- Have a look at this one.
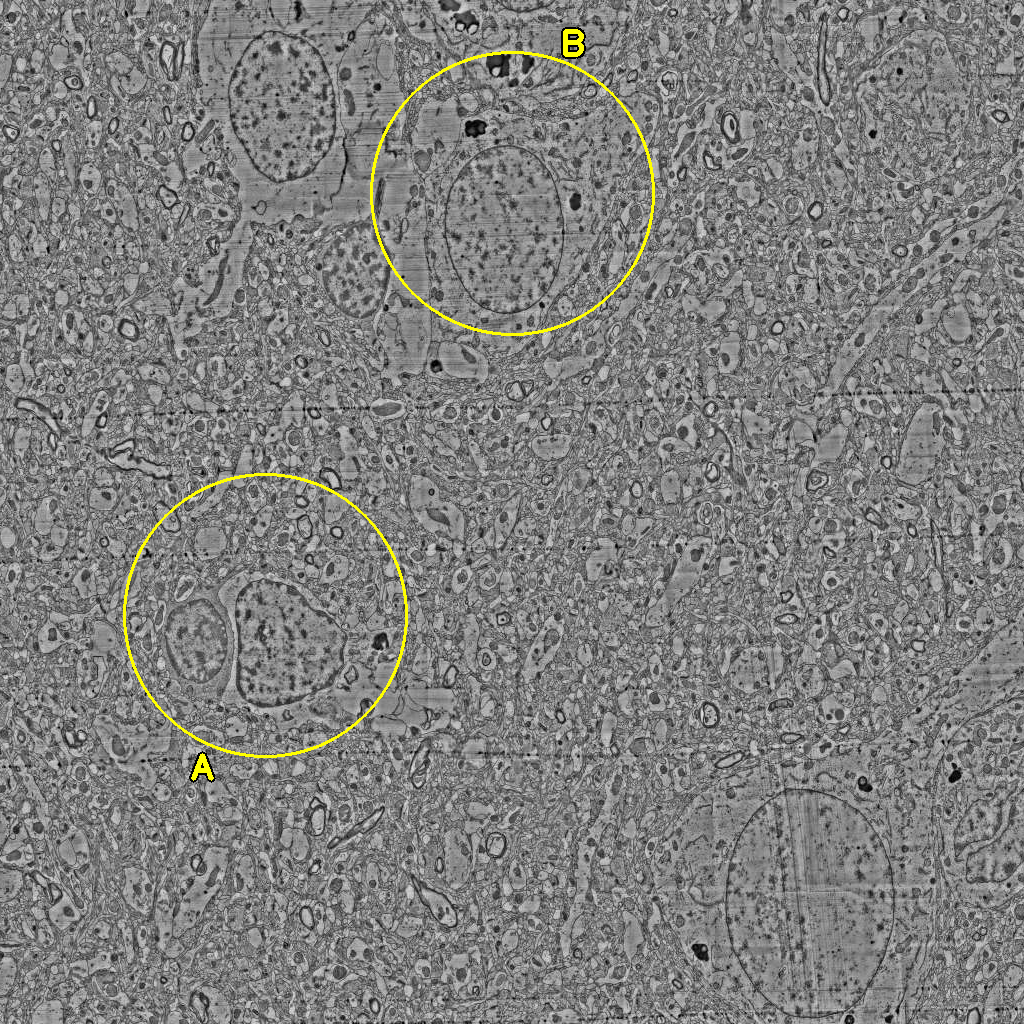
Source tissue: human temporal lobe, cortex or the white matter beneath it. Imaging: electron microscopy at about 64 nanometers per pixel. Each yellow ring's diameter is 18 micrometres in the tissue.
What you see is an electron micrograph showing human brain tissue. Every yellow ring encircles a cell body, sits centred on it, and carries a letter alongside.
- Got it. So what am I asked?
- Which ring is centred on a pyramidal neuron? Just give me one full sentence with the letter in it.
The cell asked for sits in the centre of the ring lettered B.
